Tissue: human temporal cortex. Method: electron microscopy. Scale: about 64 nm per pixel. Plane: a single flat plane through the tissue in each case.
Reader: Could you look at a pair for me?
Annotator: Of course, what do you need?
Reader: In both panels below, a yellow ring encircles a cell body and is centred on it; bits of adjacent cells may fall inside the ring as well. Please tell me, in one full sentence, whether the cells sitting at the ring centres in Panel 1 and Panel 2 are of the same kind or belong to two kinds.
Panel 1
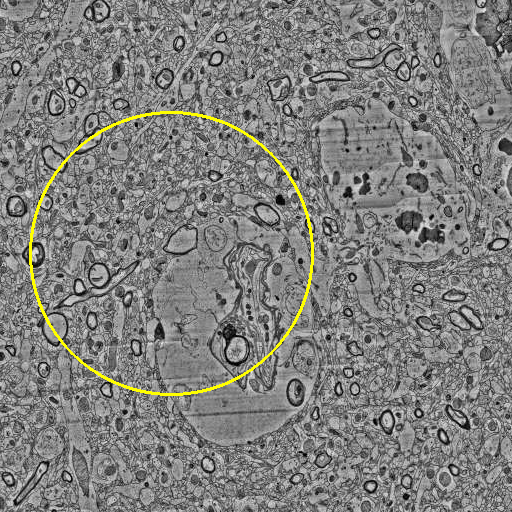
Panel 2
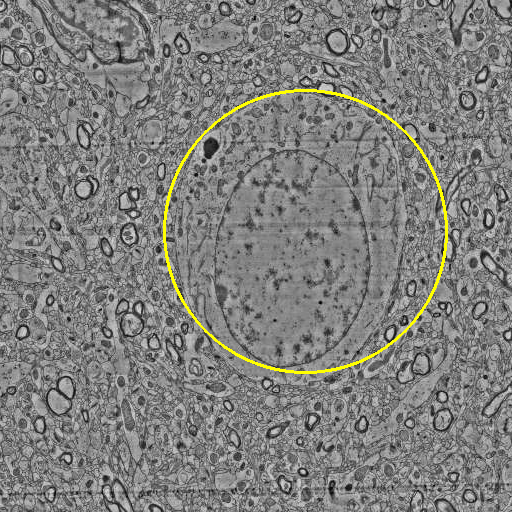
The cell at the ring's centre in Panel 1 and the one in Panel 2 belong to two kinds.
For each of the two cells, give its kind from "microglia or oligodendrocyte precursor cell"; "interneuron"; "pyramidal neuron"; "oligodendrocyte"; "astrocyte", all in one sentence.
The first picture has an oligodendrocyte in its ring, the second has a pyramidal neuron.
